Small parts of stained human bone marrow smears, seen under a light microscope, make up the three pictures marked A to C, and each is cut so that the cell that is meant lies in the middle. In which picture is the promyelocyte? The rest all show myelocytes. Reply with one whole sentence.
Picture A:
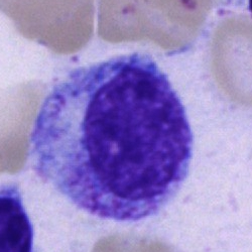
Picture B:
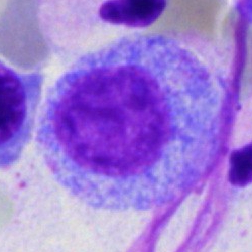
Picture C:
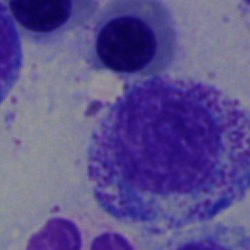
Picture B shows the promyelocyte.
